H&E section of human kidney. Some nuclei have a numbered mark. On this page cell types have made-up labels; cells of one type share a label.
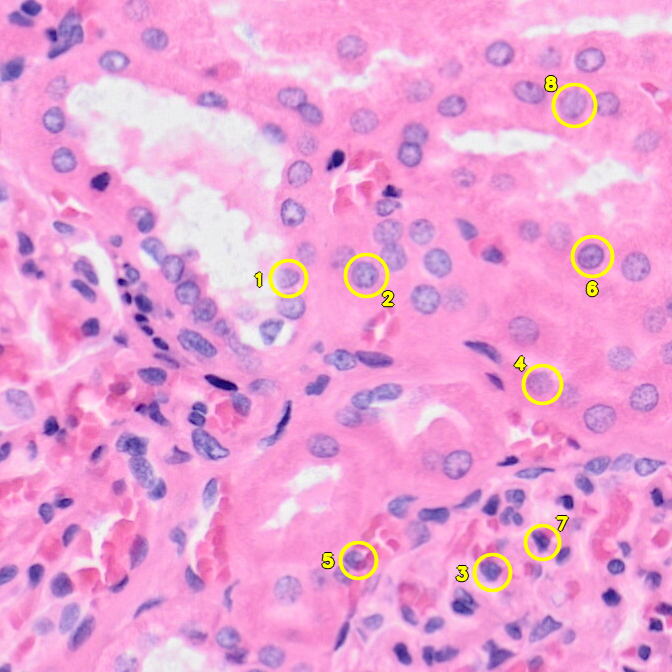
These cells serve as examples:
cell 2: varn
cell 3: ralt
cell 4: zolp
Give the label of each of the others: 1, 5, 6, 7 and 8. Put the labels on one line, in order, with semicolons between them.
varn; ralt; zolp; ralt; zolp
